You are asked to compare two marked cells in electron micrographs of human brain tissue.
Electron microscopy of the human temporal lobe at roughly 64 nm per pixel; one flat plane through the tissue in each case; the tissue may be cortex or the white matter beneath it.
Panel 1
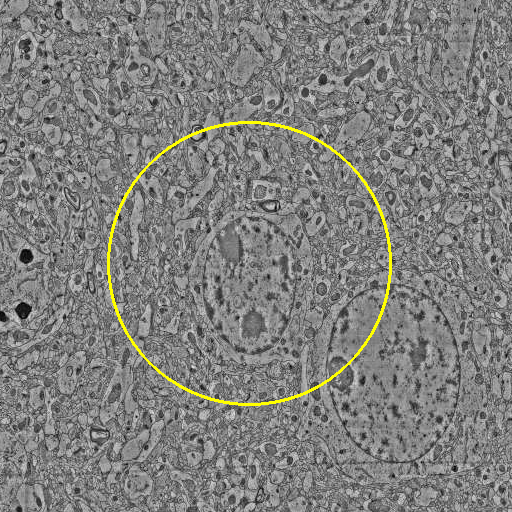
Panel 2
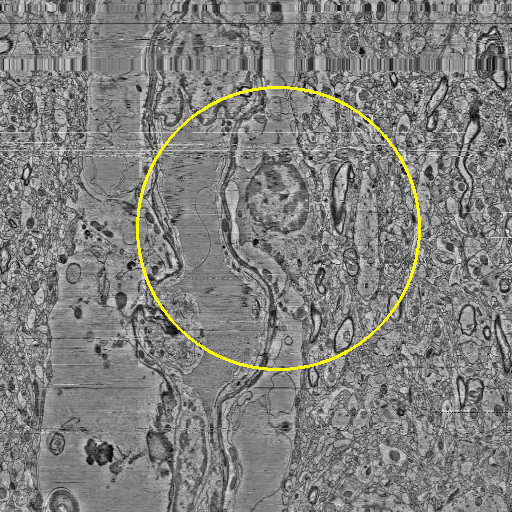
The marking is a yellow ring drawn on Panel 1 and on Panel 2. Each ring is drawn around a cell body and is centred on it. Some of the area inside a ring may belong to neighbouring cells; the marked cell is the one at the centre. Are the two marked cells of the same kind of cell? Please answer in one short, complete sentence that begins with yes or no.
No, the two marked cells are of two kinds.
